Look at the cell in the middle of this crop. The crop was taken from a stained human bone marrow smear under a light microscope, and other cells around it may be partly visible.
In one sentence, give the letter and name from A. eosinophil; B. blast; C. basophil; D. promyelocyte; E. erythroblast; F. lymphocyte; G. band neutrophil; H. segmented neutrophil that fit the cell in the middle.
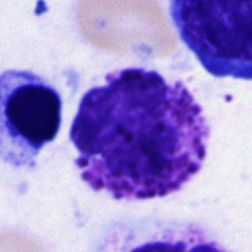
Option C is right, the centrally situated cell being a basophil.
